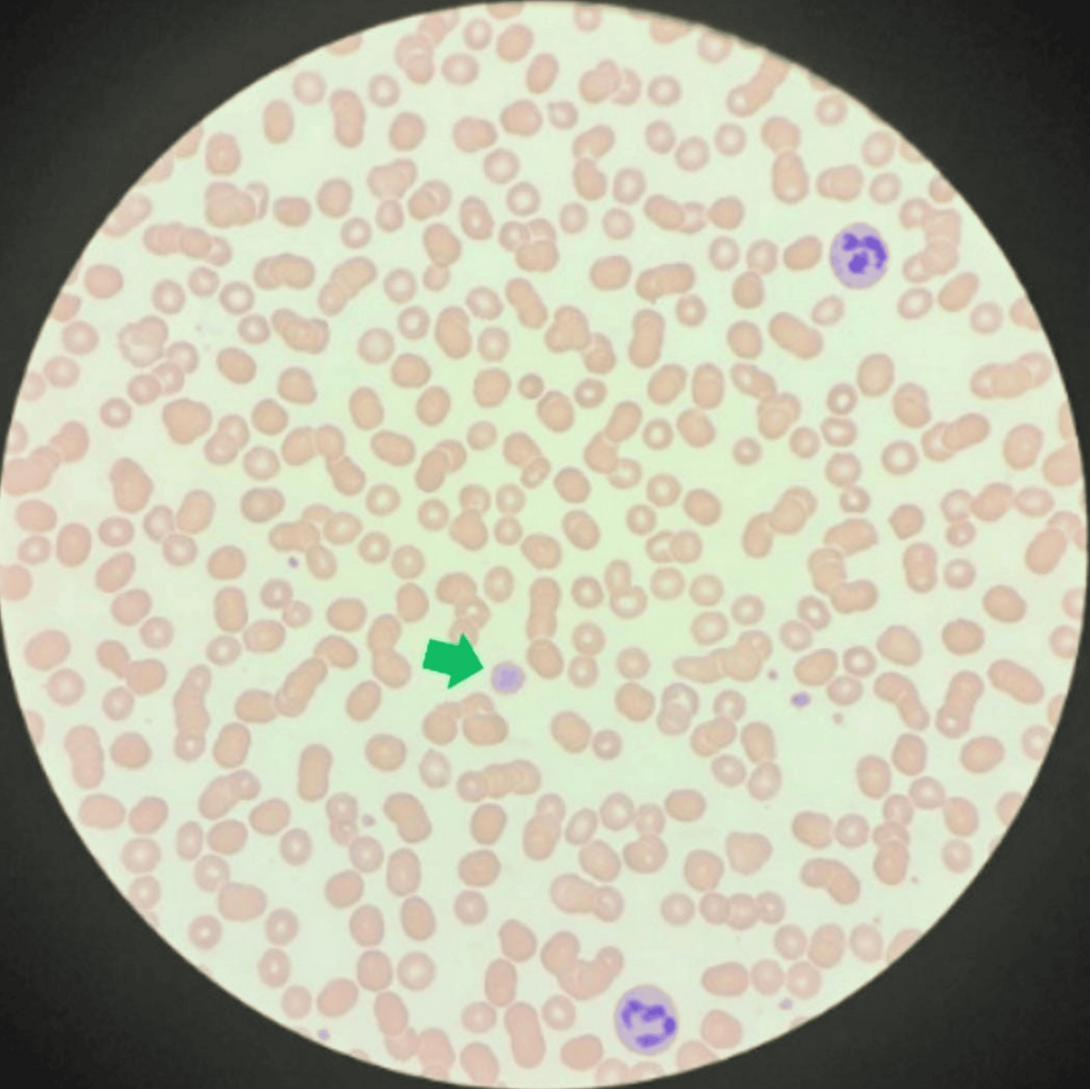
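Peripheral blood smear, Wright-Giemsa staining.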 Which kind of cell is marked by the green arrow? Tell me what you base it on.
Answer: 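The marked object is a small purple granular body with no nucleus, lying among red cells. It is nearly as large as the neighbouring red cells. Other purple bodies nearby are much smaller. On this evidence: large and giant platelets.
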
